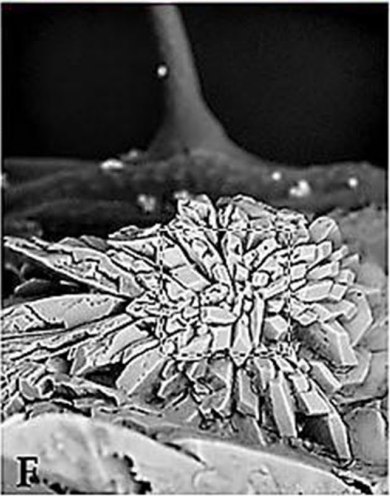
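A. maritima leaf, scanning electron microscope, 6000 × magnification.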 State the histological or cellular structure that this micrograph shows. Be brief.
Conglomerate of salt crystals.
